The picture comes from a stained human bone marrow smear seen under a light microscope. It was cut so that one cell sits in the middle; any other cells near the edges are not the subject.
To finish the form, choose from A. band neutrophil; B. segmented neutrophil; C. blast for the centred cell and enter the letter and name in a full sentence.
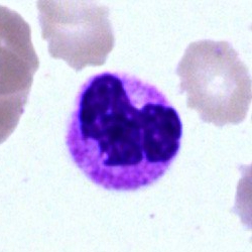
Identification: the cell in the middle is a segmented neutrophil, matching option B.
